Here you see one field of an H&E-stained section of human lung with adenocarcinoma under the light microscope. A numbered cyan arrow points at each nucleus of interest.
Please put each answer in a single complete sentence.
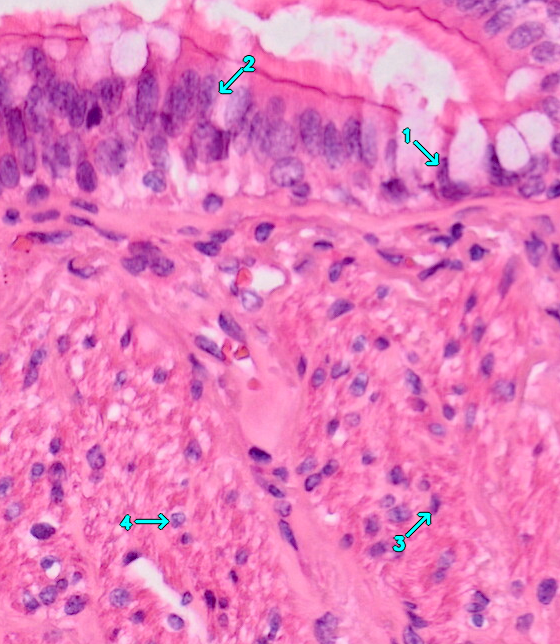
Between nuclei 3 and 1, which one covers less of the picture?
Number 3 is smaller, since number 1 takes up about 1.5 times as much area.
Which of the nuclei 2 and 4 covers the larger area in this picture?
Nucleus 2 is larger, with an area about 4 times that of nucleus 4.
